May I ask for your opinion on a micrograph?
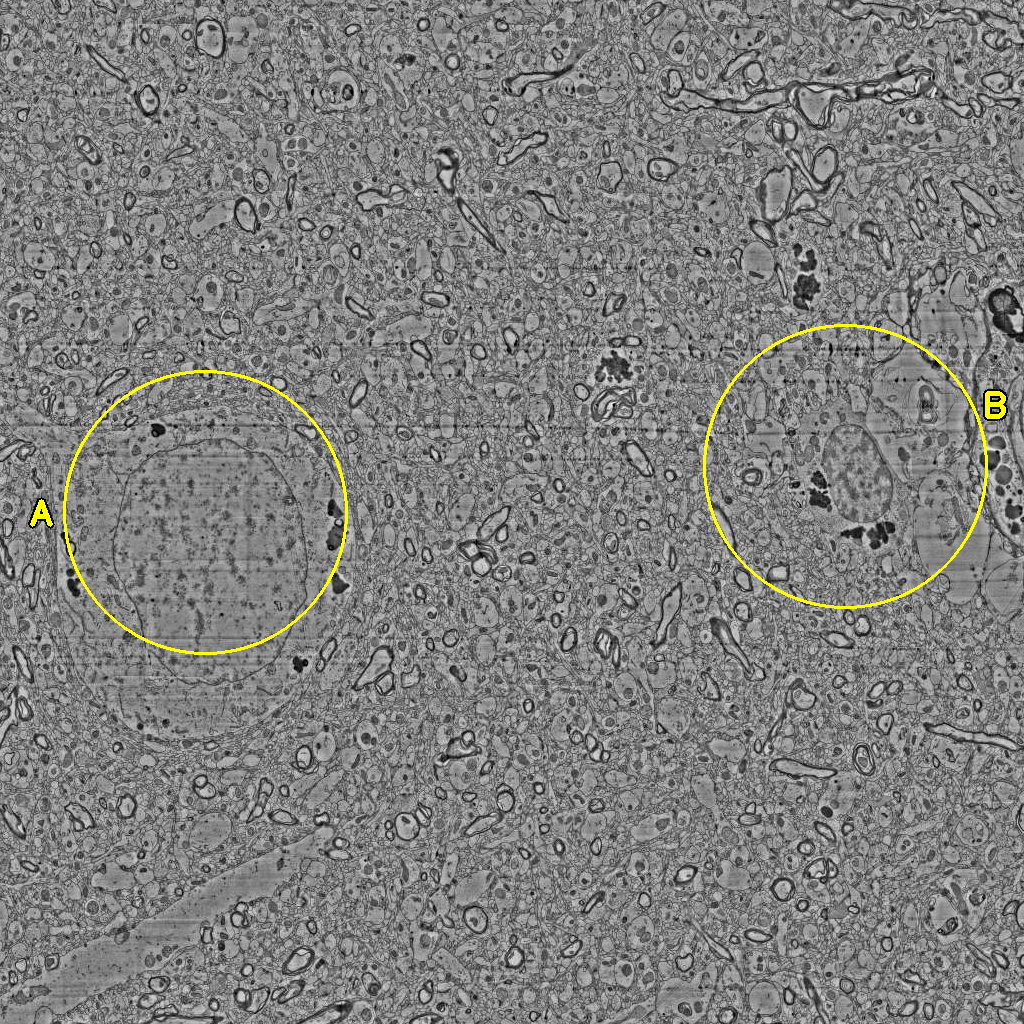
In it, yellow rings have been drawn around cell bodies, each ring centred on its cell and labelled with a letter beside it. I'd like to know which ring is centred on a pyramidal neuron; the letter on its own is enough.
A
